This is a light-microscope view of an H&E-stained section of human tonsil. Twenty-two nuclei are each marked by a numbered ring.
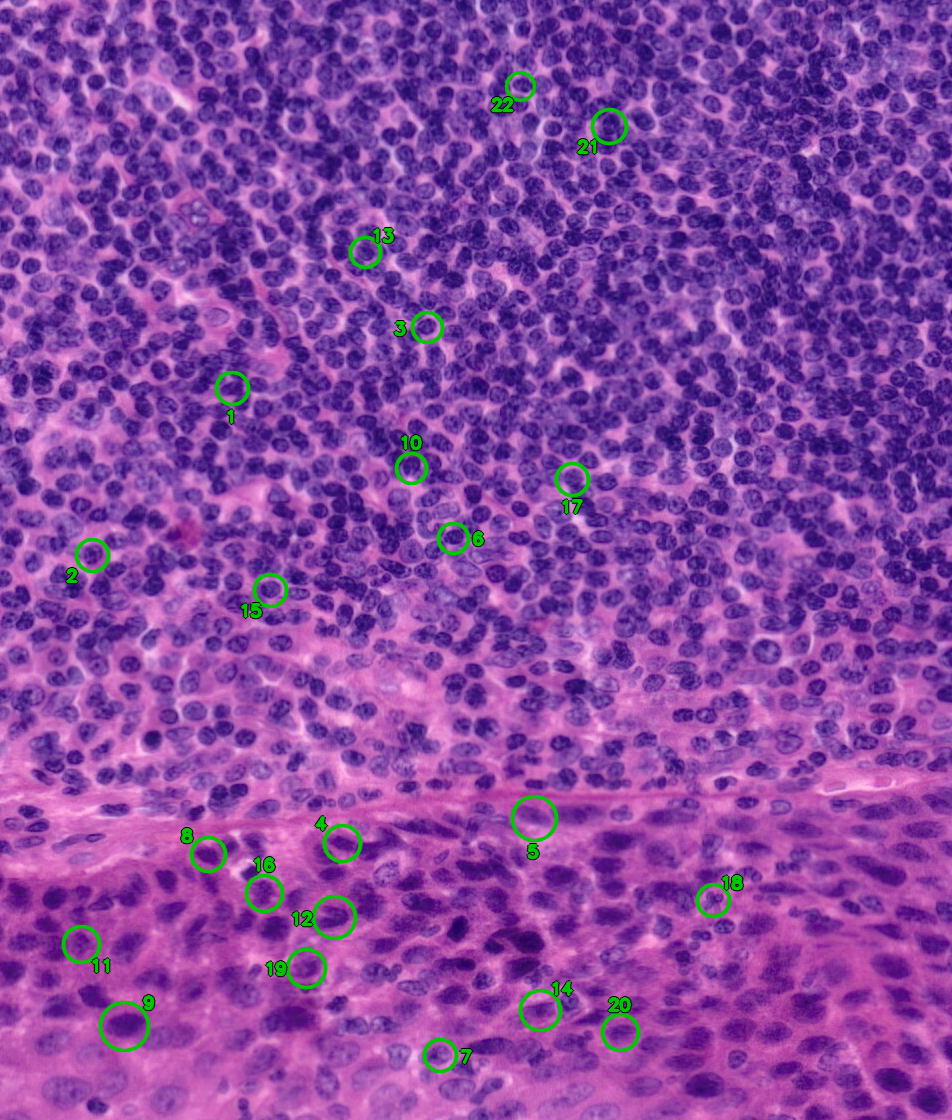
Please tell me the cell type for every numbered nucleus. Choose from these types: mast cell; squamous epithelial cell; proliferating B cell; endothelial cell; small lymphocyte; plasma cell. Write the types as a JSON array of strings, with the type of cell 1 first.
["small lymphocyte", "plasma cell", "small lymphocyte", "squamous epithelial cell", "squamous epithelial cell", "small lymphocyte", "squamous epithelial cell", "squamous epithelial cell", "squamous epithelial cell", "small lymphocyte", "squamous epithelial cell", "squamous epithelial cell", "small lymphocyte", "squamous epithelial cell", "small lymphocyte", "squamous epithelial cell", "small lymphocyte", "squamous epithelial cell", "squamous epithelial cell", "squamous epithelial cell", "small lymphocyte", "small lymphocyte"]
